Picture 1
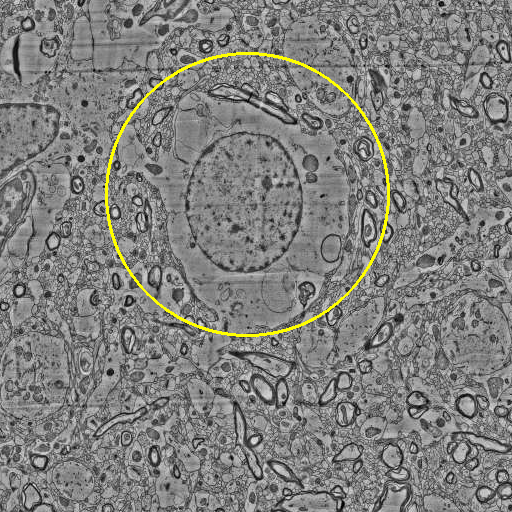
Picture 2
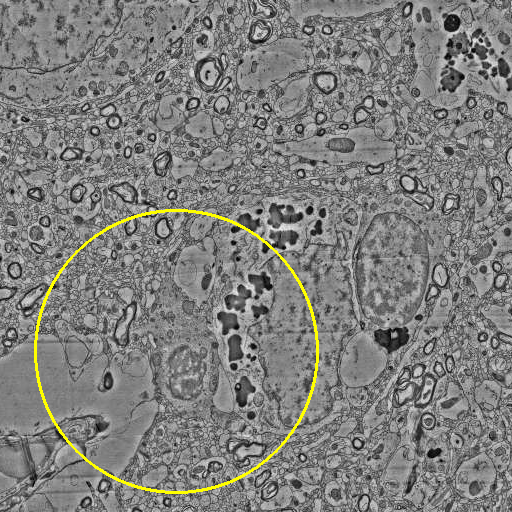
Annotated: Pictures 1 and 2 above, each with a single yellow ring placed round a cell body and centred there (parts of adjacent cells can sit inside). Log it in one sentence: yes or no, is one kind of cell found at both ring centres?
No, the ring centres of the two pictures hold cells of two kinds.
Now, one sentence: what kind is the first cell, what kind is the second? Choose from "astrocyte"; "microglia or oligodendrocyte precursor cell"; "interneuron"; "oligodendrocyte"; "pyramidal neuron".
The first picture has an astrocyte at its ring centre, and the second has an oligodendrocyte.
